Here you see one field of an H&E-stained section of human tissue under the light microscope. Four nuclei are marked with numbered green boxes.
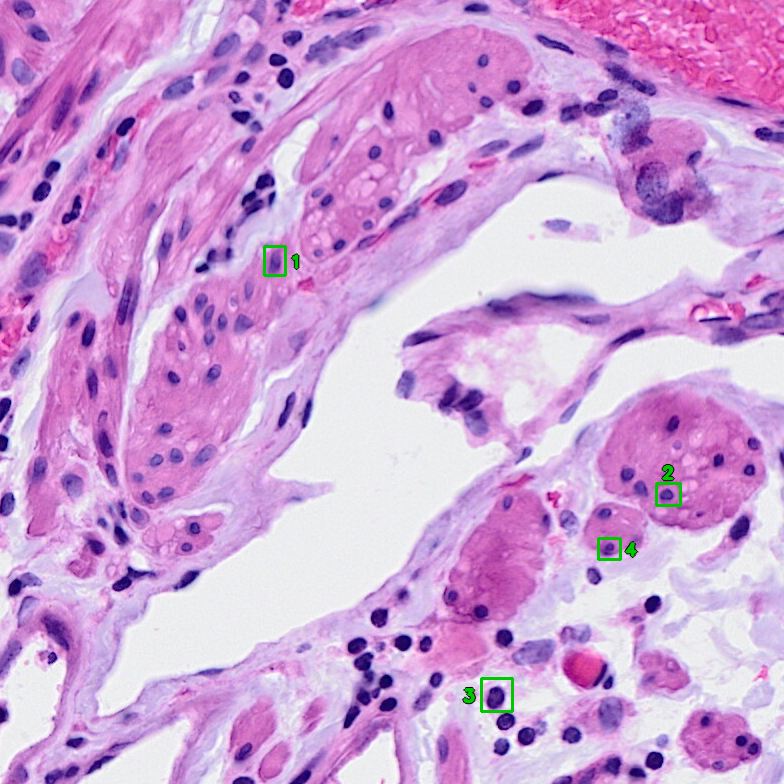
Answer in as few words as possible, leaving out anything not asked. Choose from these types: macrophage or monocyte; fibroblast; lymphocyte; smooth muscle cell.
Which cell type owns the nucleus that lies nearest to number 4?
lymphocyte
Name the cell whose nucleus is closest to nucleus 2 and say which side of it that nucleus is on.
a smooth muscle cell to the left of nucleus 2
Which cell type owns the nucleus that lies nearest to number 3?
lymphocyte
